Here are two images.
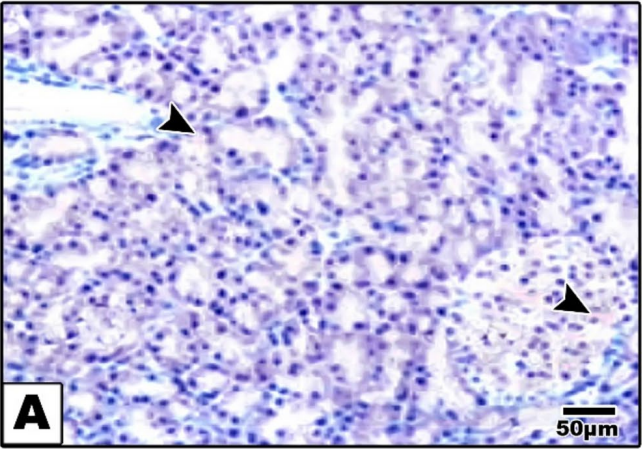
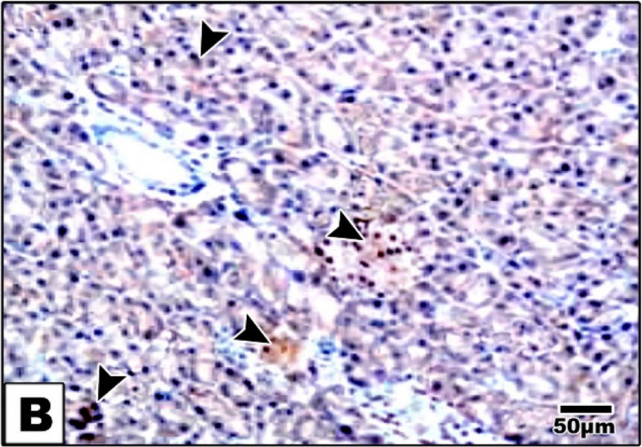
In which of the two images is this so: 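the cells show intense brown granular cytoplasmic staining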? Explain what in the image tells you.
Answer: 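First image: the tissue is mainly blue-violet with only a faint pinkish tint and no brown deposits.
Conclusion: the second image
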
